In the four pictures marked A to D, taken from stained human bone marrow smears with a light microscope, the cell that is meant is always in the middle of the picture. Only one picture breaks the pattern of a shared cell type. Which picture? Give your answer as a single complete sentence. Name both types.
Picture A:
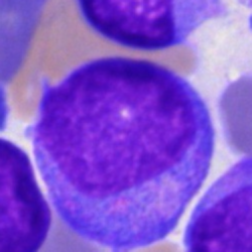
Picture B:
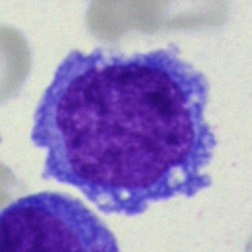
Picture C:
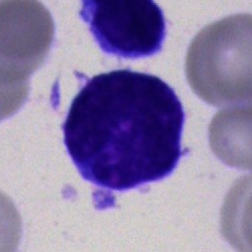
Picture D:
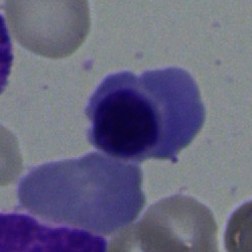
The different one is picture D; it shows an erythroblast, whereas all the others show blasts.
